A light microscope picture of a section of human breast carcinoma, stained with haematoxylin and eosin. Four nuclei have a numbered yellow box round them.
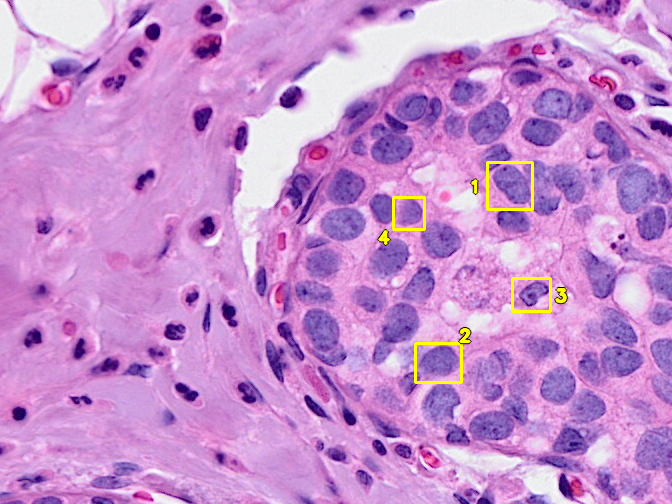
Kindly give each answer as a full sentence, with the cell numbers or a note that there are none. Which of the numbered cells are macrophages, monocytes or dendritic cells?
Only the nucleus marked 3 is that of a macrophage, monocyte or dendritic cell.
